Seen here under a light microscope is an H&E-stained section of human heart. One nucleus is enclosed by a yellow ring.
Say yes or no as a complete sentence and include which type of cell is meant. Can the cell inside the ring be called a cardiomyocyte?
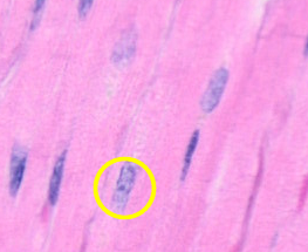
Yes, the cell inside the ring is to be classified as a cardiomyocyte.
